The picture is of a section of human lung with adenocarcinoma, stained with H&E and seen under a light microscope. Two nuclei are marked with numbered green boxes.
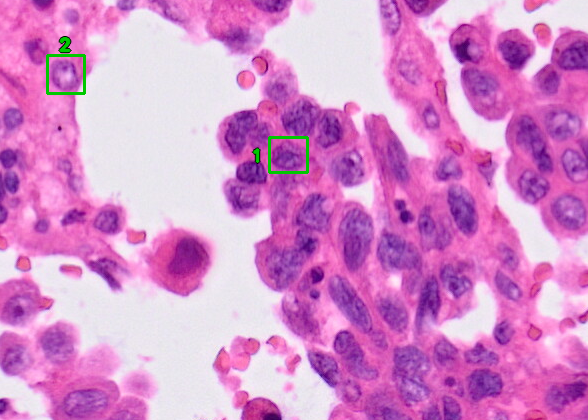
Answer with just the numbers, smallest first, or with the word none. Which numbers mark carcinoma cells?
1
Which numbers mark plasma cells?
none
